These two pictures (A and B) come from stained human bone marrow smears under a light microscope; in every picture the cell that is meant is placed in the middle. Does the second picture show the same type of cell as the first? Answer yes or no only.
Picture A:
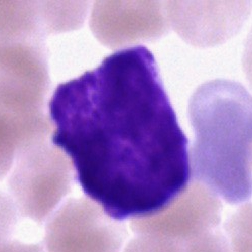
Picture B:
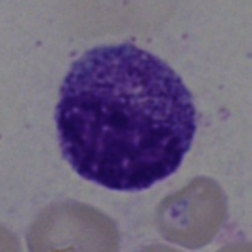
no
